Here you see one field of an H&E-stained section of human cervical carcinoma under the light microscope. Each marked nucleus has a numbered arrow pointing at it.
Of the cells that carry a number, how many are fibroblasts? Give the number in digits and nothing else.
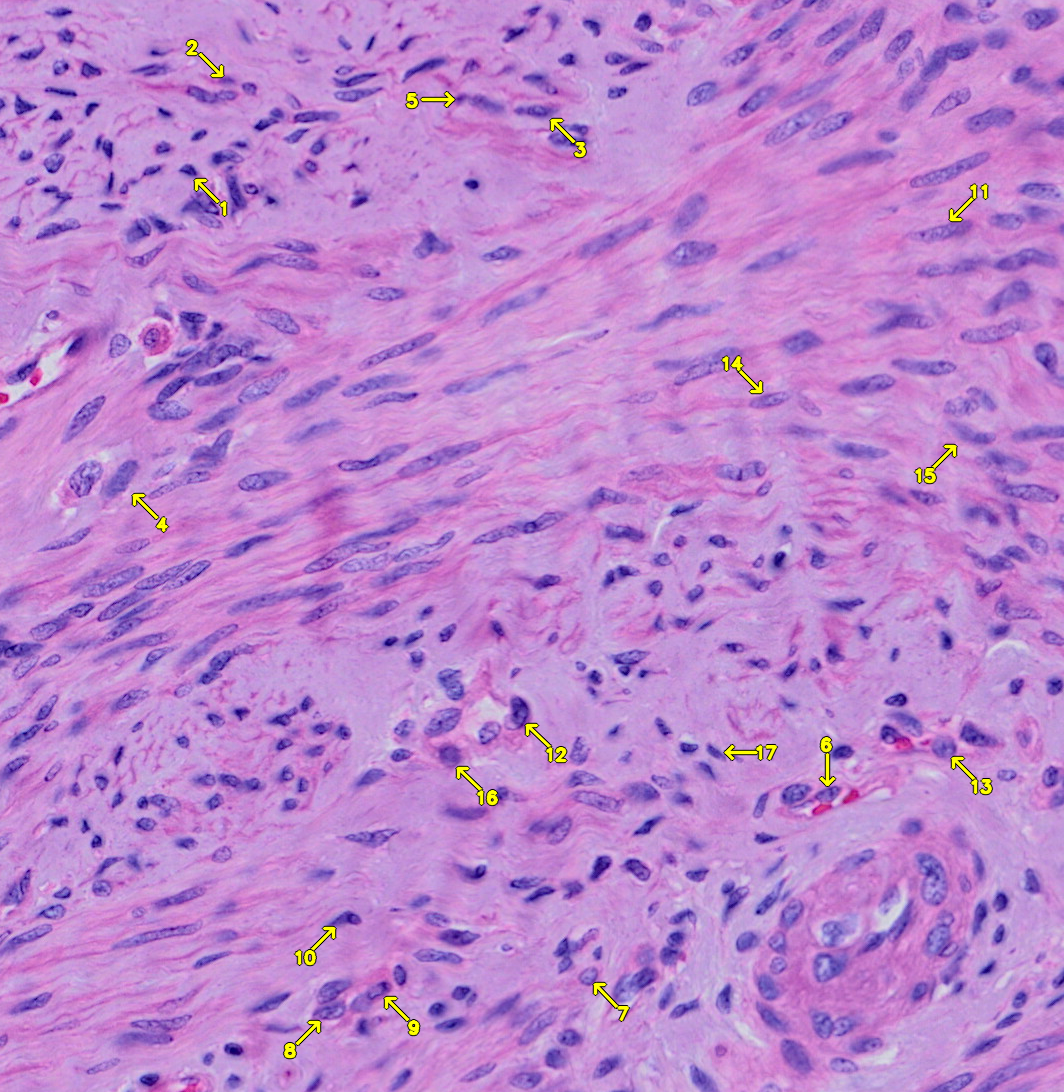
4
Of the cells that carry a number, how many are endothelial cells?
6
